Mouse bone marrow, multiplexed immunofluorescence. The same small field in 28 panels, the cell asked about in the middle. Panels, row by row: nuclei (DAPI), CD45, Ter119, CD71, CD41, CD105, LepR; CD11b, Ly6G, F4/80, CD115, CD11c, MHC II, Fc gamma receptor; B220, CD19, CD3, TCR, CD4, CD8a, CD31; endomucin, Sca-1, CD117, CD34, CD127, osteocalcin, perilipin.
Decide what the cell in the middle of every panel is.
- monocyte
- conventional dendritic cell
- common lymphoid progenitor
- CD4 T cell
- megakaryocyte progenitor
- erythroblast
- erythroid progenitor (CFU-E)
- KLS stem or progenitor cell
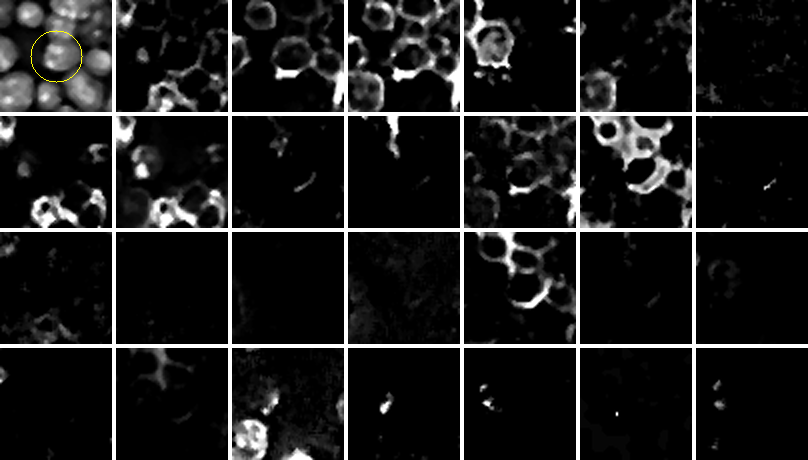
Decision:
erythroblast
